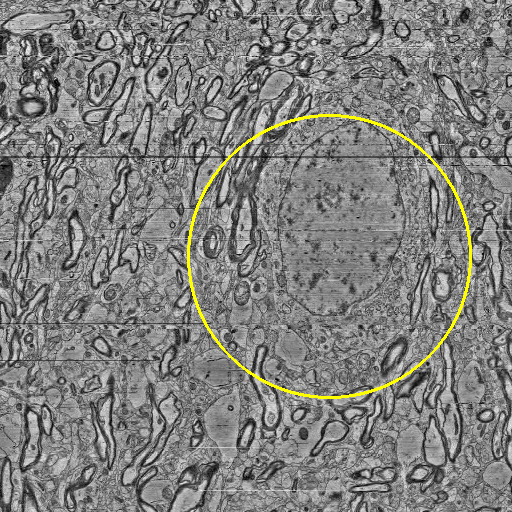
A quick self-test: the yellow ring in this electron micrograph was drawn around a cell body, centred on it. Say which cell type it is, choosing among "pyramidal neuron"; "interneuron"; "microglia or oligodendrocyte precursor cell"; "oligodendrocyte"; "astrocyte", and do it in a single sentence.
The yellow-ringed cell is an interneuron.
